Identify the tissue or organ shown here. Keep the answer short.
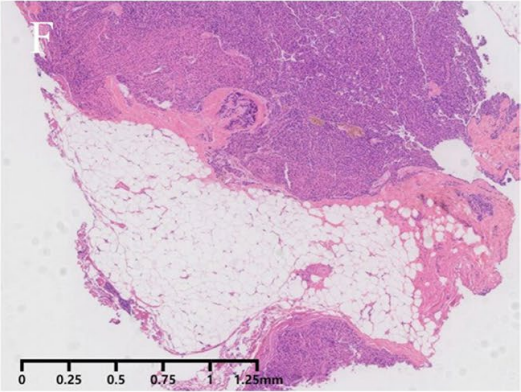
Parathyroid tissue.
